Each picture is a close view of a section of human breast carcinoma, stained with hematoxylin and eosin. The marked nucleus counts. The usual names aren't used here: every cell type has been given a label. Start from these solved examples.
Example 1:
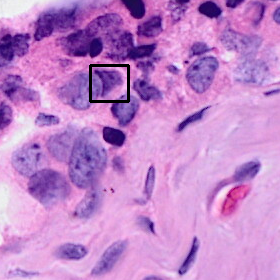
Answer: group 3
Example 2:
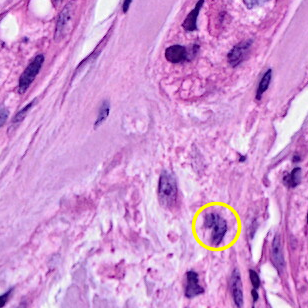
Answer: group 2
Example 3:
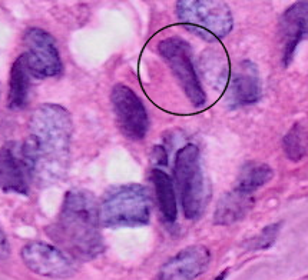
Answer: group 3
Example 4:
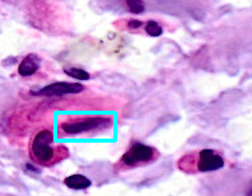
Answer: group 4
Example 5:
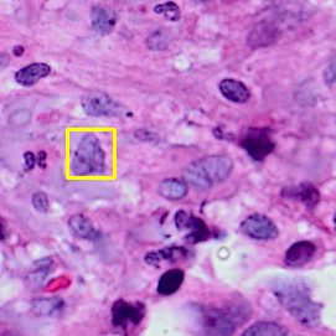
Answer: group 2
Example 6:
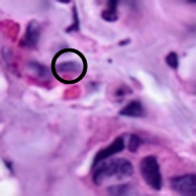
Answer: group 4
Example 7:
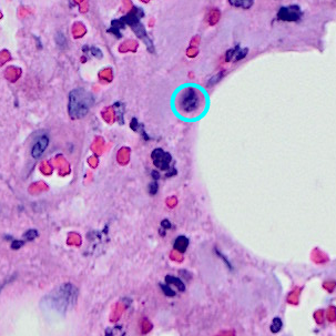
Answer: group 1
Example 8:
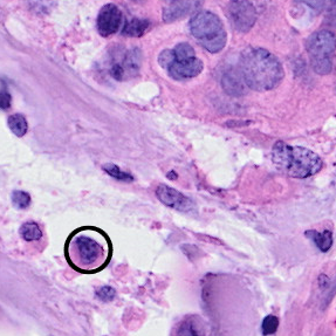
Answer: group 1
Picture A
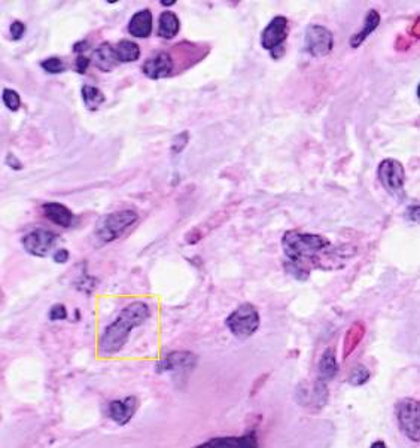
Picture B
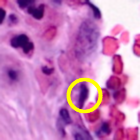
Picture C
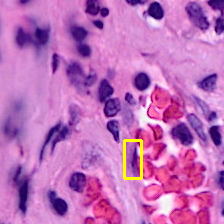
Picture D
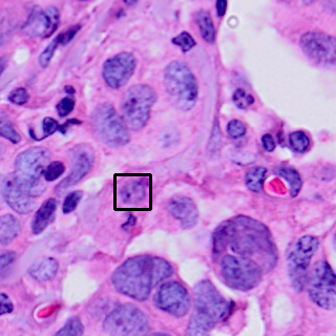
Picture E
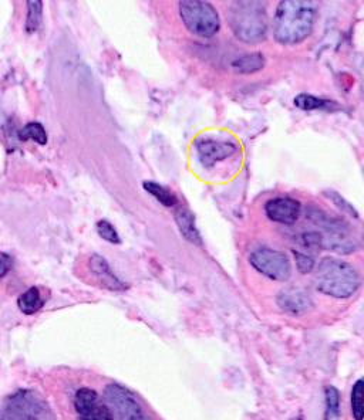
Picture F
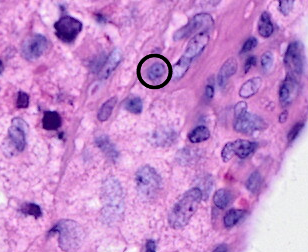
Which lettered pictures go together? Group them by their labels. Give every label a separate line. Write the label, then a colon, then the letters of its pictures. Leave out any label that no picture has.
group 2: A, D, E
group 4: B, C, F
